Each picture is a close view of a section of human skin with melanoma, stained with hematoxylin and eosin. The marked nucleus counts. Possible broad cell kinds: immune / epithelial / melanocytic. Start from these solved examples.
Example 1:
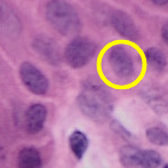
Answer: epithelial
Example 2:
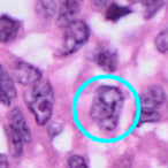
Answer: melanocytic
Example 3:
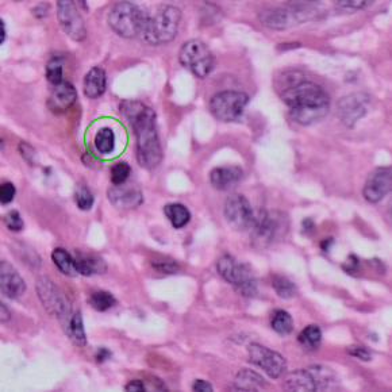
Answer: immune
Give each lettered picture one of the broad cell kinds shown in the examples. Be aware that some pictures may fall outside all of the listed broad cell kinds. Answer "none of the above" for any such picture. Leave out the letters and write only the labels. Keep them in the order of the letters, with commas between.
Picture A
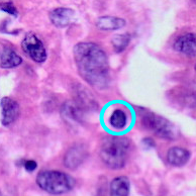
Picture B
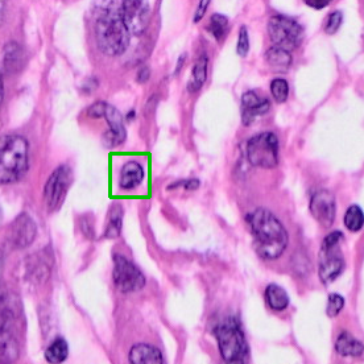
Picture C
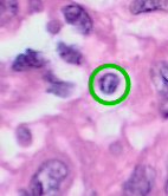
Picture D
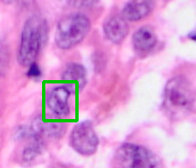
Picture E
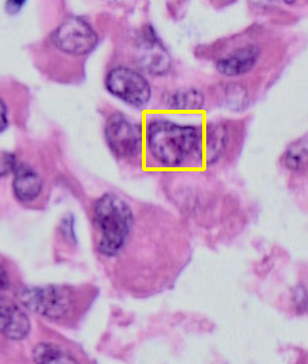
immune, immune, immune, melanocytic, melanocytic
